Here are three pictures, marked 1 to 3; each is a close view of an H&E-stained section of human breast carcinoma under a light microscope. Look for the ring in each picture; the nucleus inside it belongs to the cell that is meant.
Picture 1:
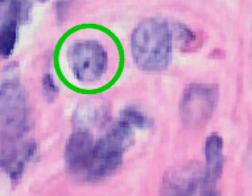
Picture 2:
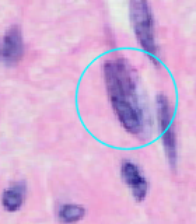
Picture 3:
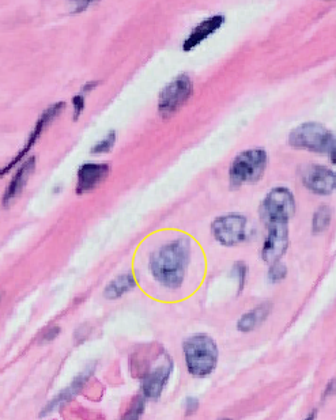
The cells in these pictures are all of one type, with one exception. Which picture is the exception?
1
